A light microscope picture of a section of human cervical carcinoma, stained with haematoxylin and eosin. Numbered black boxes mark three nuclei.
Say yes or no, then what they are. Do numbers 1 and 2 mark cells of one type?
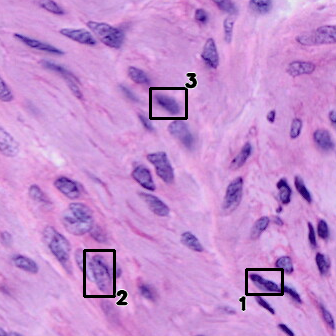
No, cell 1 is categorized as a fibroblast, while cell 2 is categorized as an endothelial cell.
